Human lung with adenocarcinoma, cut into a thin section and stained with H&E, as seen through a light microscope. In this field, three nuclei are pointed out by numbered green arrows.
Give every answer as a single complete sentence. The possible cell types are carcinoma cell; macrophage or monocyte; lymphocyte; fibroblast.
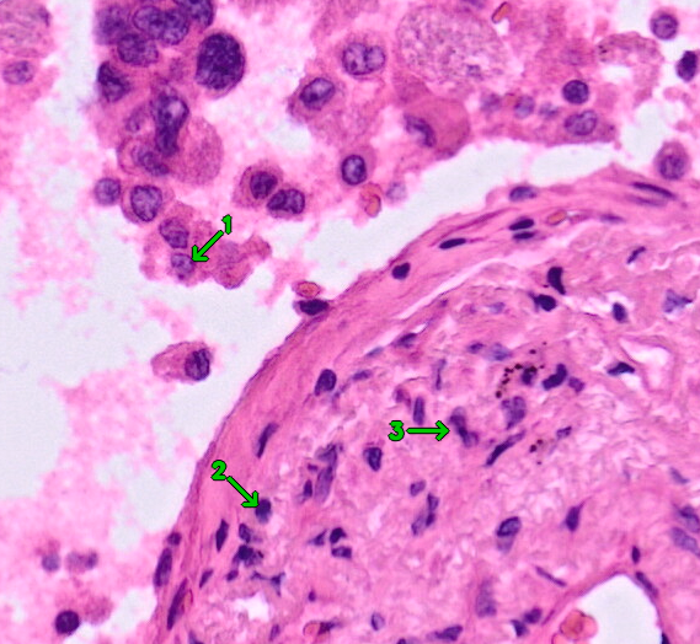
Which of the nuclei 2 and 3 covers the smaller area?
With nucleus 3 about 1.5 times its size, nucleus 2 is the smaller of the two.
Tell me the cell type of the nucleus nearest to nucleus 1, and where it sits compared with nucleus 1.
Just above nucleus 1 lies the nearest nucleus, which belongs to a macrophage or monocyte.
